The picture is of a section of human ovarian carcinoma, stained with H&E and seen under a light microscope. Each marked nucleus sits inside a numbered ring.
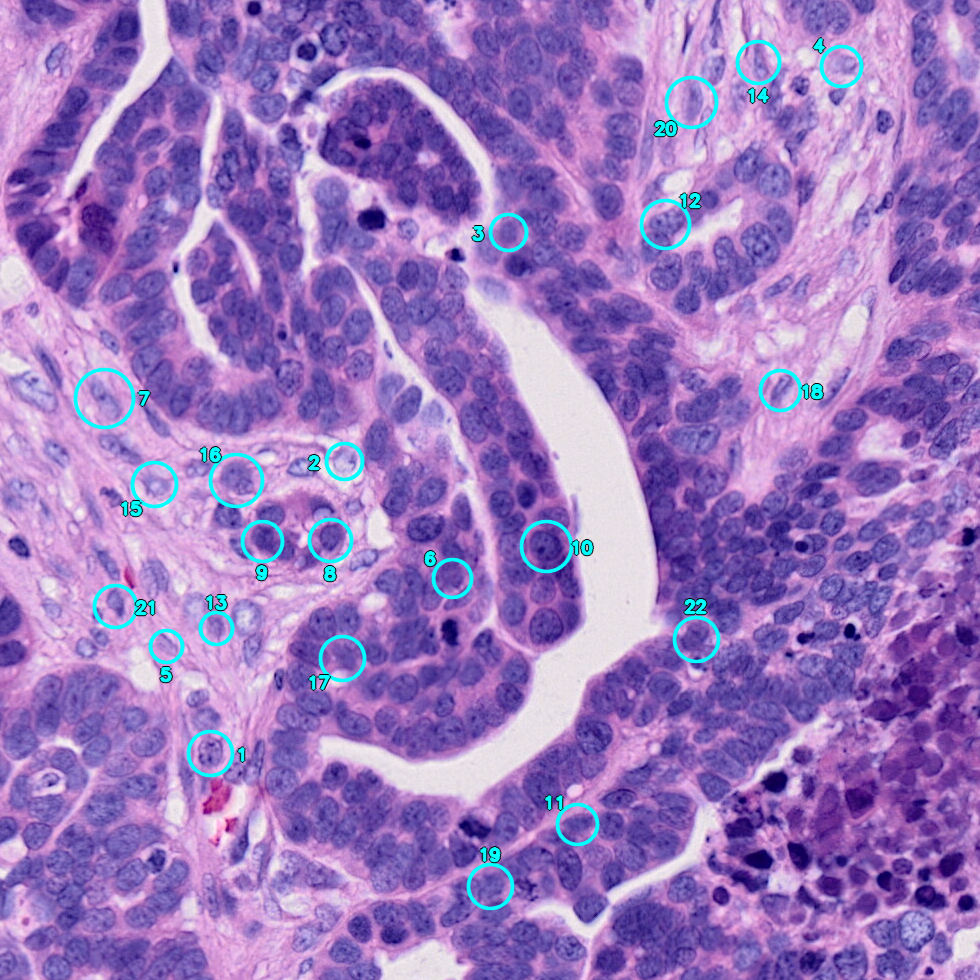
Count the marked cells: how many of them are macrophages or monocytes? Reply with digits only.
1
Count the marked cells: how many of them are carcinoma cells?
11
